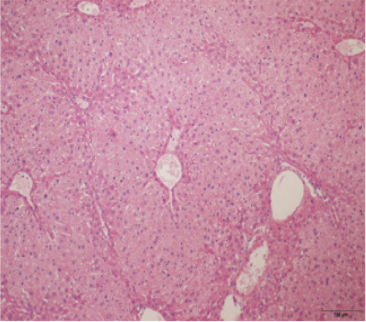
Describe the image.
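Liver parenchyma in which hepatocytes, large polygonal cells with pink cytoplasm and round dark-blue nuclei, form plates separated by narrow sinusoids. Several open vessel lumens are scattered through the field, and the plates run toward them.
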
